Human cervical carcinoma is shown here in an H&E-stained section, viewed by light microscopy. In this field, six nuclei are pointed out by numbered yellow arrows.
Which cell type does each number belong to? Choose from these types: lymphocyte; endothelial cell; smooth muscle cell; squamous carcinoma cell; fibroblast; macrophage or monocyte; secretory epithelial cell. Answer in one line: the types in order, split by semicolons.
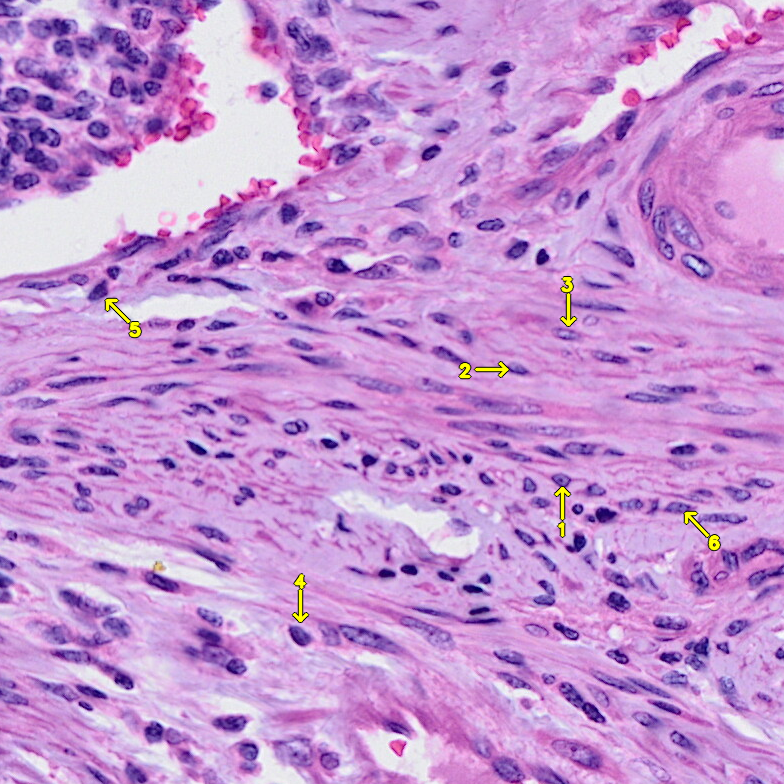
smooth muscle cell; smooth muscle cell; smooth muscle cell; lymphocyte; lymphocyte; smooth muscle cell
